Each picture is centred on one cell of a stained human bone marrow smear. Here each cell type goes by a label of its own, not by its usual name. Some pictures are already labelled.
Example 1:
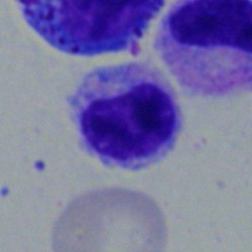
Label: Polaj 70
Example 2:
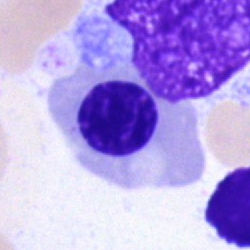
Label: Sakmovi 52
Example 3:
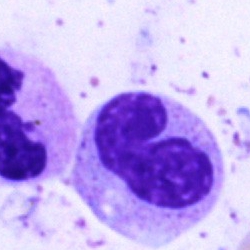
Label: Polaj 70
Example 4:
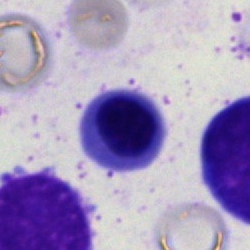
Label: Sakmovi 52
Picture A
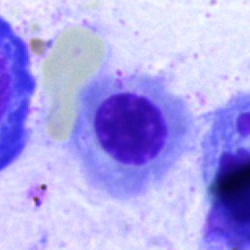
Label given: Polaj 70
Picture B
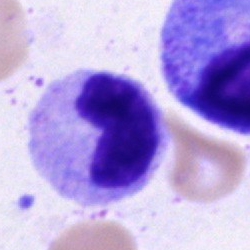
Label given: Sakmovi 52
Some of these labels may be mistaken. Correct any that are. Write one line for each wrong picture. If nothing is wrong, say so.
A is labelled Polaj 70; correct label: Sakmovi 52
B is labelled Sakmovi 52; correct label: Polaj 70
